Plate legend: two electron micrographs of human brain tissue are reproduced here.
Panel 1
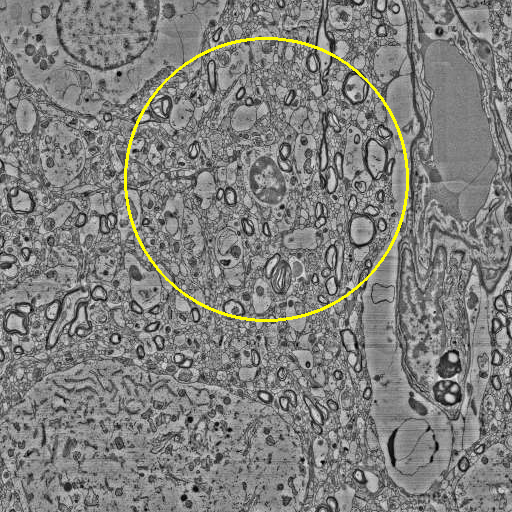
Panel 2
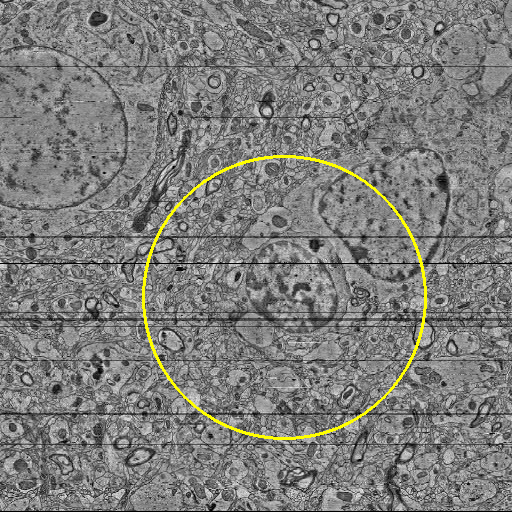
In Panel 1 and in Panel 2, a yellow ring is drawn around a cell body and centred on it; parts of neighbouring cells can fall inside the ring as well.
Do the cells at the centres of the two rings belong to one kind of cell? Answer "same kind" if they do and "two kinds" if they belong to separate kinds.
two kinds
